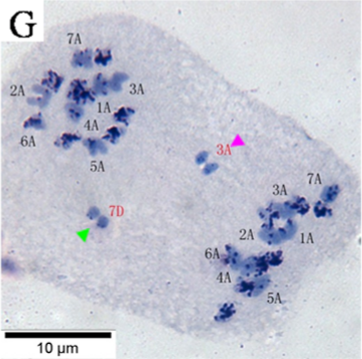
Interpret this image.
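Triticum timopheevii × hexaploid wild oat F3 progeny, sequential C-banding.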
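A pollen mother cell in meiotic division with its chromosomes in two separate groups at opposite ends of the cell. Between the two groups lie a few paler chromosomes, marked by coloured arrowheads, apart from either set. The cell outline is broad and the cytoplasm pale blue and granular.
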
